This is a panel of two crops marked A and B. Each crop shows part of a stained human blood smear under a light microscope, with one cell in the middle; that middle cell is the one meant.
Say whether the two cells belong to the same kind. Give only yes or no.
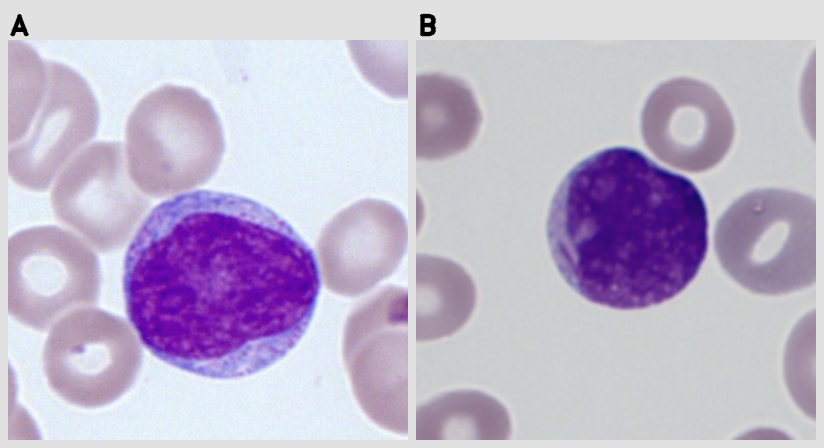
yes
